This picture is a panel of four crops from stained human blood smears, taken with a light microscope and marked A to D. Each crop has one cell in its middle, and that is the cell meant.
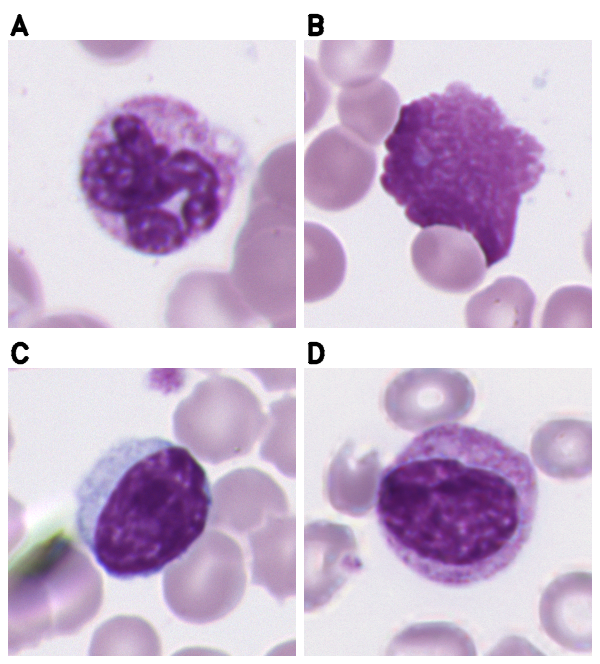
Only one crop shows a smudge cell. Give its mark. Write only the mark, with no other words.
B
